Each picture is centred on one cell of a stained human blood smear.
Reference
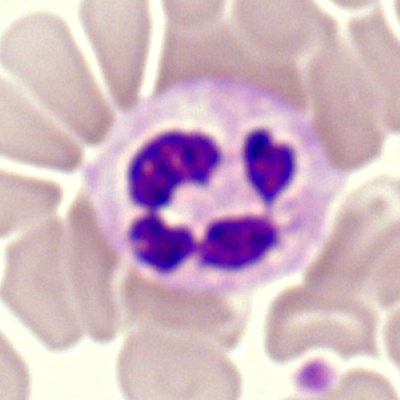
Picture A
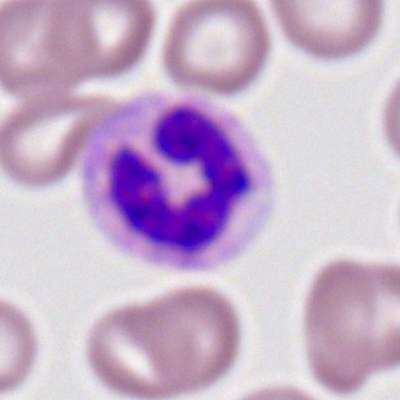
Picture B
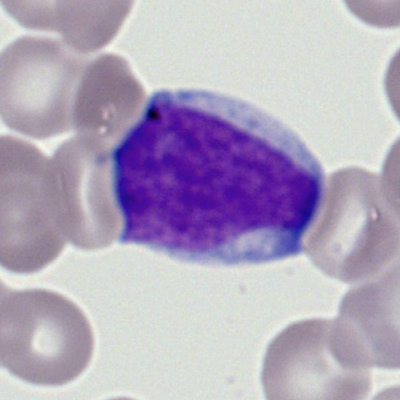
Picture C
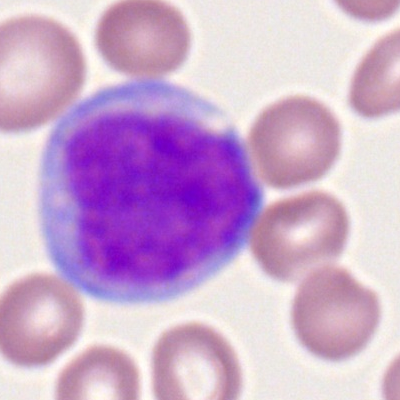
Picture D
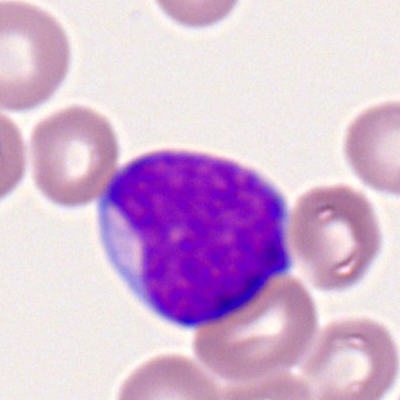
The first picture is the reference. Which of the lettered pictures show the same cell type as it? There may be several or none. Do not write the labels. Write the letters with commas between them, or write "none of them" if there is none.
A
